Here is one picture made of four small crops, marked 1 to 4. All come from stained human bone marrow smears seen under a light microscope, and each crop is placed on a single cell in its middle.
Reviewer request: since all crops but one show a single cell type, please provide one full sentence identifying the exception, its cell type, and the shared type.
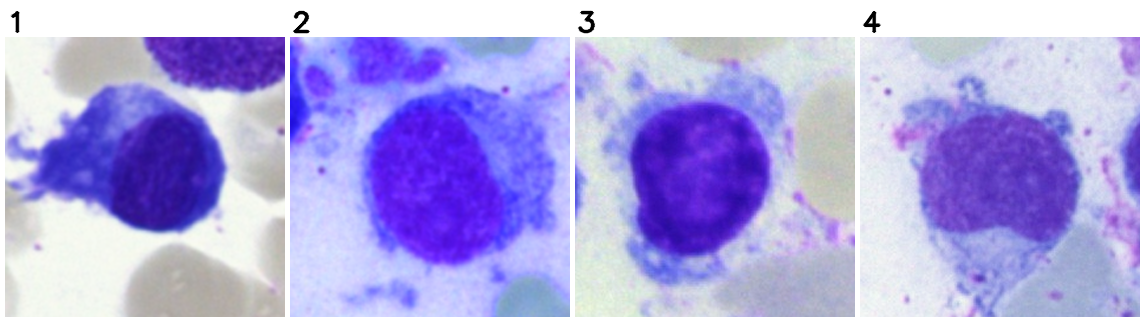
The crop that differs is 1, which is a plasma cell; the rest are hairy cells.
